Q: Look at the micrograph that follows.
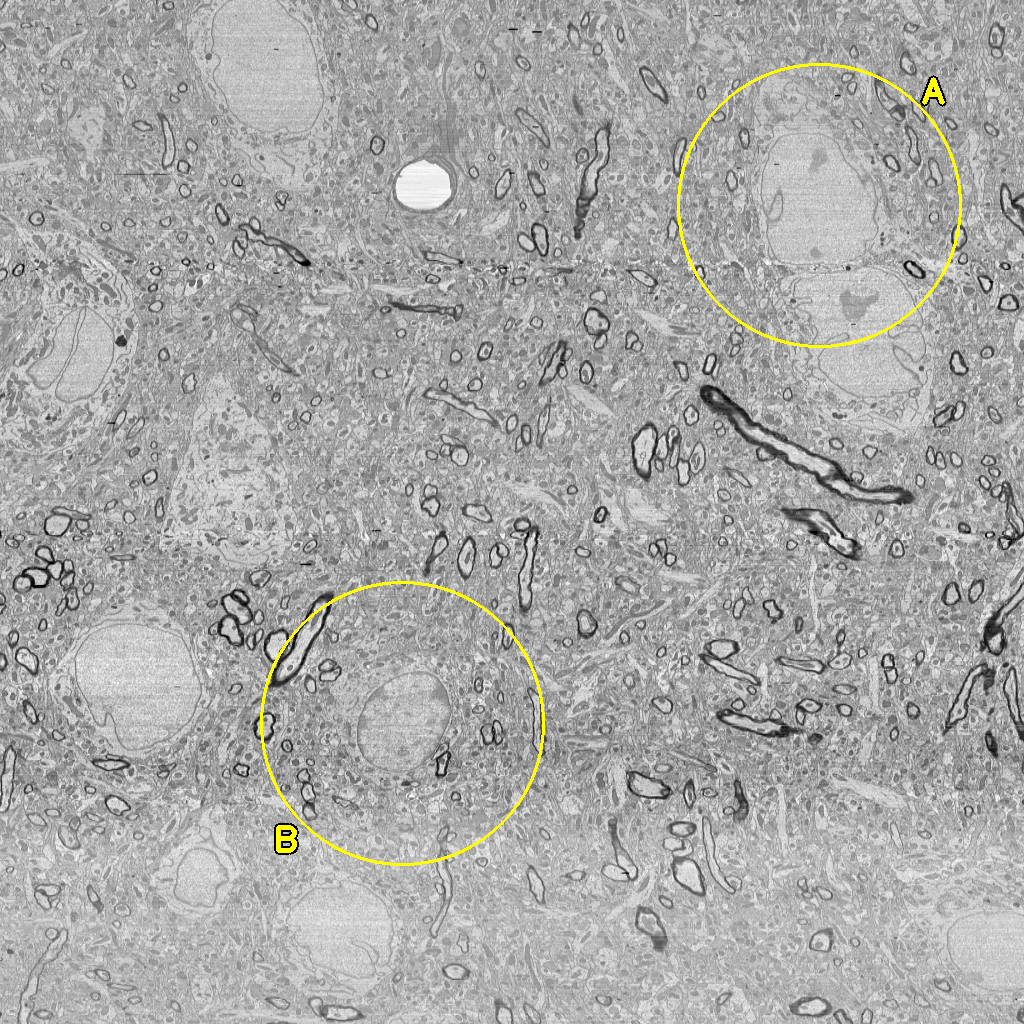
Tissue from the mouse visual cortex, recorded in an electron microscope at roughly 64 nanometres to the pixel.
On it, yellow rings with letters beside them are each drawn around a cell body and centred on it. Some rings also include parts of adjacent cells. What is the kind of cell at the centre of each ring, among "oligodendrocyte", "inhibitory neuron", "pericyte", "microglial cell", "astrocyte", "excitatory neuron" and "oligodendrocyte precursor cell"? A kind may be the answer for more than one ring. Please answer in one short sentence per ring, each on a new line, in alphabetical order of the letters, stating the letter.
Ring A surrounds the cell body of an excitatory neuron.
Ring B surrounds the cell body of an oligodendrocyte.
